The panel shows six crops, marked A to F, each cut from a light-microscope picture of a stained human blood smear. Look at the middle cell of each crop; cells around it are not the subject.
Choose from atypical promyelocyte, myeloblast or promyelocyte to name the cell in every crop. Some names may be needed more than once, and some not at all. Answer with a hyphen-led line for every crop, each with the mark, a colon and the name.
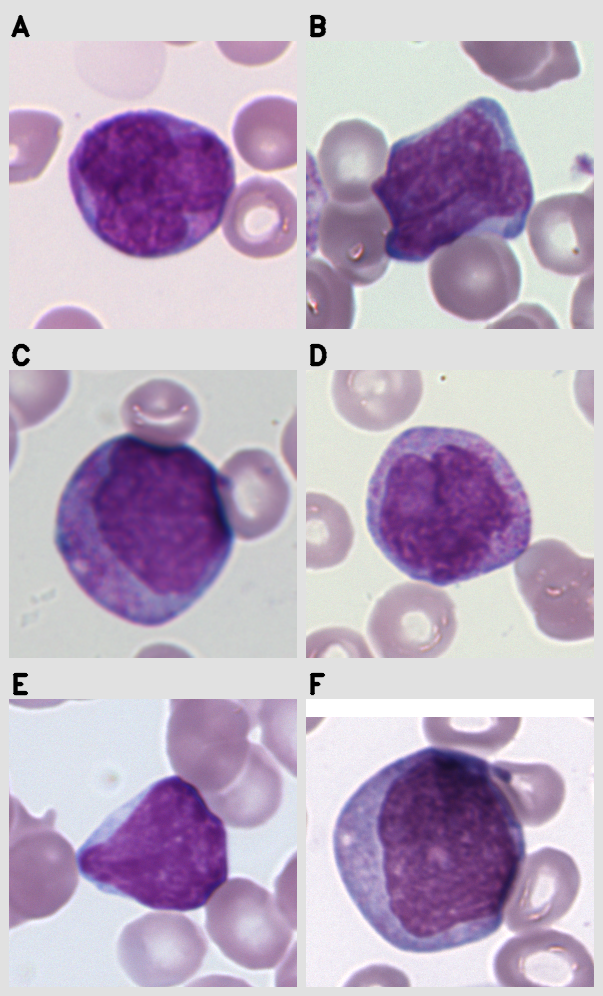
- A: atypical promyelocyte
- B: myeloblast
- C: promyelocyte
- D: atypical promyelocyte
- E: myeloblast
- F: promyelocyte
